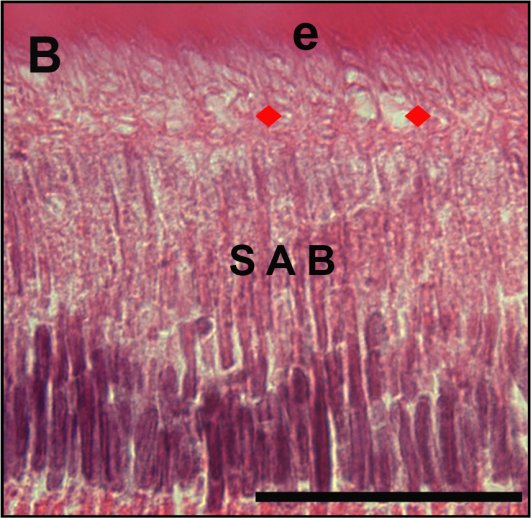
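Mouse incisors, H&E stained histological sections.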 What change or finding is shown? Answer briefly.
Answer: Clear vacuoles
